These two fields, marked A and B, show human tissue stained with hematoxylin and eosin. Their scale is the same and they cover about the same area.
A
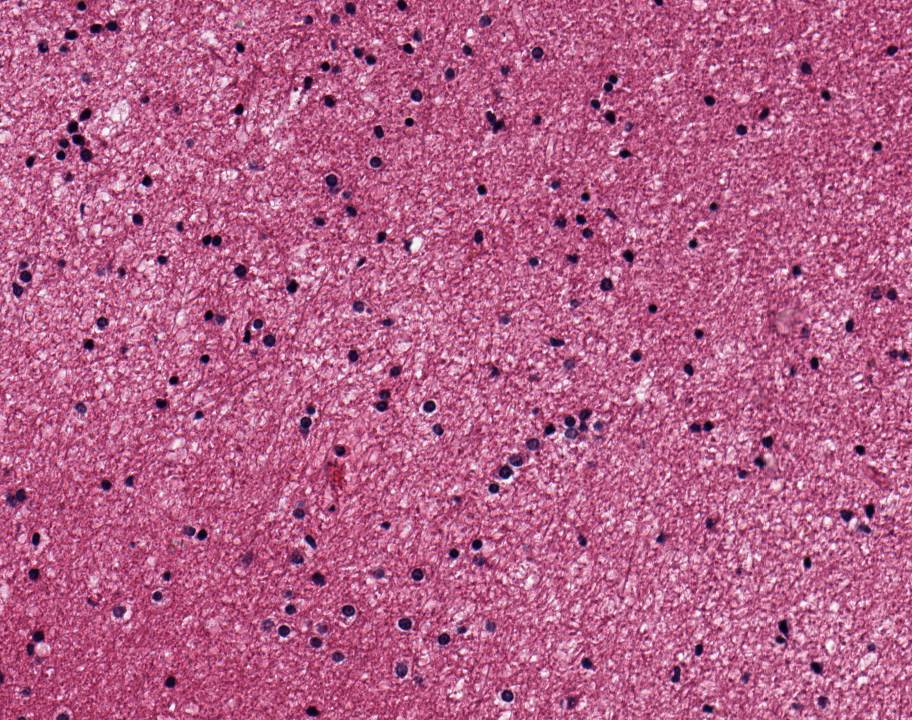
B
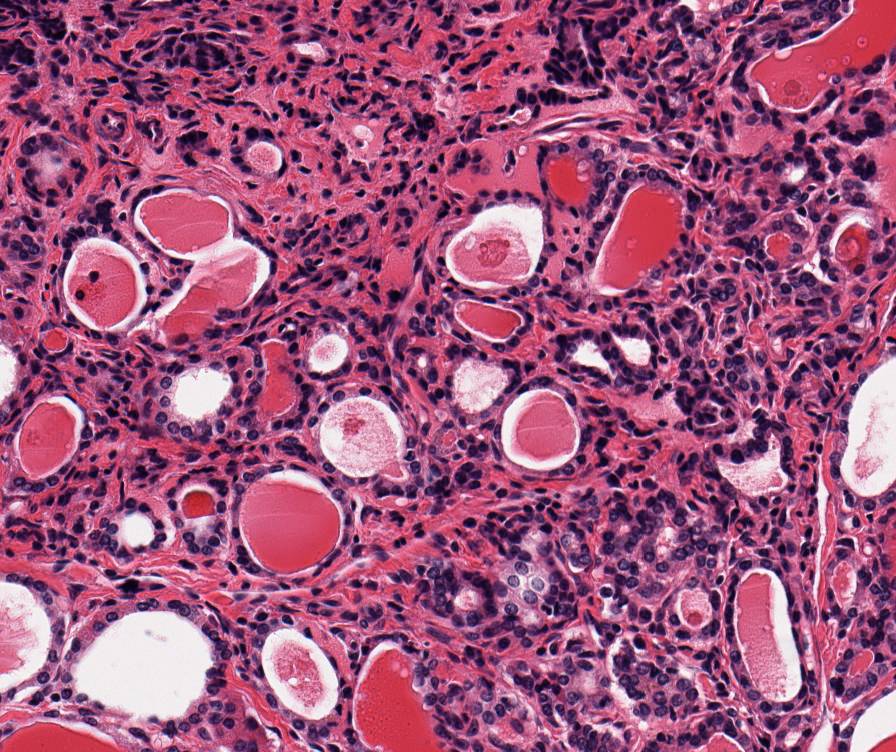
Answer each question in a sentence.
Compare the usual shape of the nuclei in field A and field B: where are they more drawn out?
It is field B whose nuclei are the more elongated.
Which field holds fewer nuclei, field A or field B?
Field A holds fewer nuclei than field B.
